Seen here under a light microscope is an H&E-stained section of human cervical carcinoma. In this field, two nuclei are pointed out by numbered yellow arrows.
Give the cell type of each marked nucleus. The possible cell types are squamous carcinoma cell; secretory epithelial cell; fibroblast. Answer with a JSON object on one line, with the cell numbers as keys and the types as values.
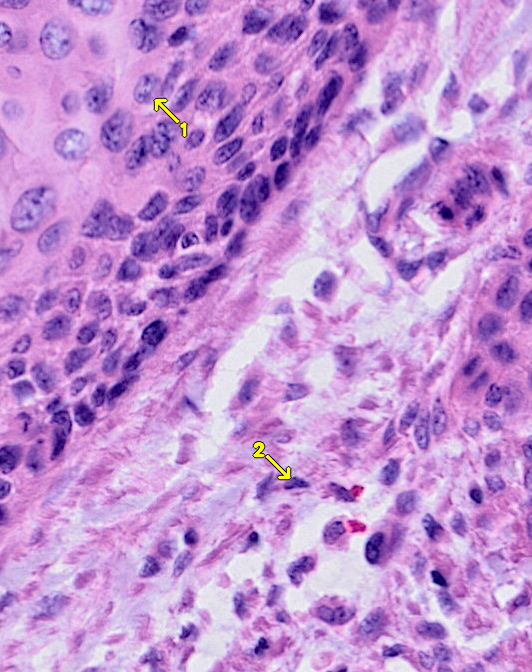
{"1": "squamous carcinoma cell", "2": "fibroblast"}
